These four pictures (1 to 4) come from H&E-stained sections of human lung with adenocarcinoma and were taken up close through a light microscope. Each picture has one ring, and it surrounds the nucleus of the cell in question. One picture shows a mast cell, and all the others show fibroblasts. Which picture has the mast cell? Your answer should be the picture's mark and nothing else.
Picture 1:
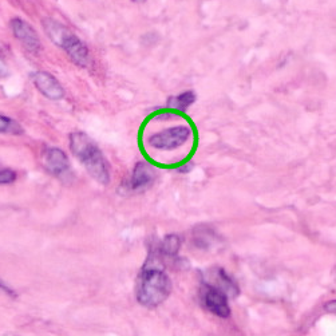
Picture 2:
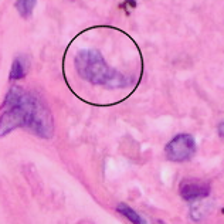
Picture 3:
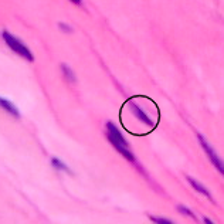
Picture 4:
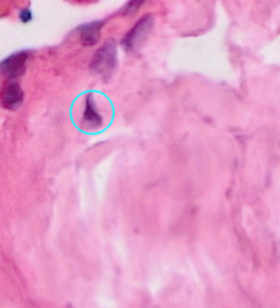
1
